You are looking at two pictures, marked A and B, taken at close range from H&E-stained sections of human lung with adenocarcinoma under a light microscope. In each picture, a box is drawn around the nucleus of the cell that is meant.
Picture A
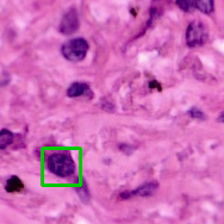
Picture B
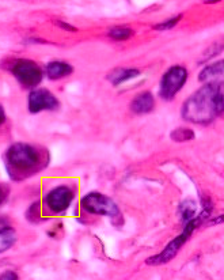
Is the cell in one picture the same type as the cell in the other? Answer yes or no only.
yes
